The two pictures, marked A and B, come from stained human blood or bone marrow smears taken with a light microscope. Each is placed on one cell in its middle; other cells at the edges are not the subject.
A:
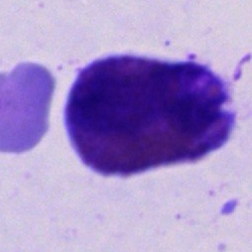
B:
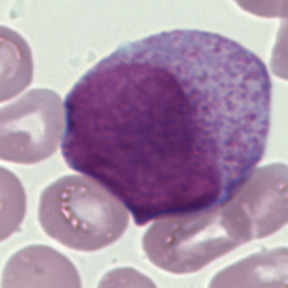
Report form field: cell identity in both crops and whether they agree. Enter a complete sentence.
No, crop A is to be identified as an eosinophil and crop B as a promyelocyte.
